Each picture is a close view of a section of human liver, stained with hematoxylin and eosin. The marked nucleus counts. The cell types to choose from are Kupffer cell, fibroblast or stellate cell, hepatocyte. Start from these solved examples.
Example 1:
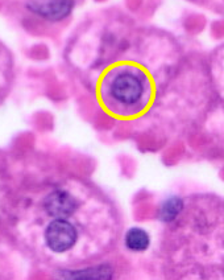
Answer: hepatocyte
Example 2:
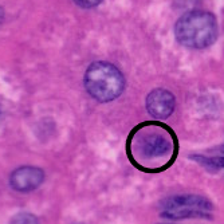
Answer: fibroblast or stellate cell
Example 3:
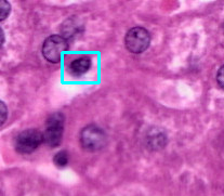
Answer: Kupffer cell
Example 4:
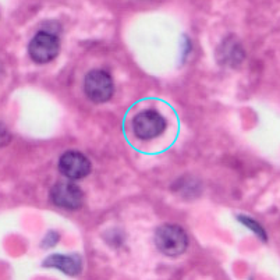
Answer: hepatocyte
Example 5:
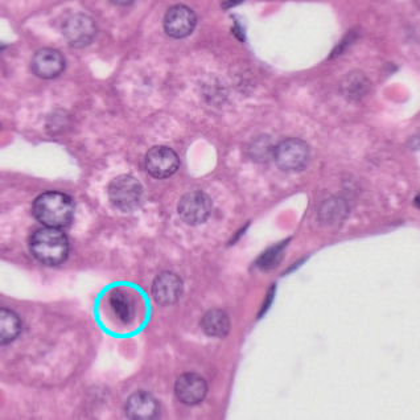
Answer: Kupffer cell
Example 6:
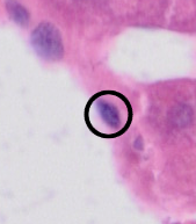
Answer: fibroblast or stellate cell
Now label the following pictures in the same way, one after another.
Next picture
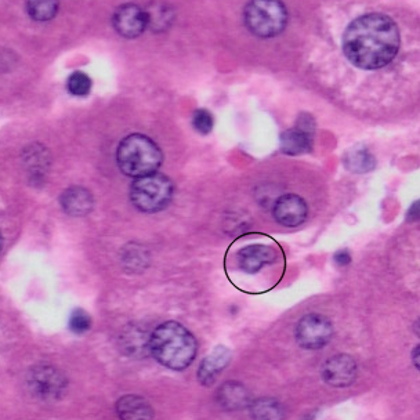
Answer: Kupffer cell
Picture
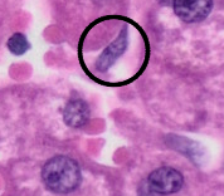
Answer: Kupffer cell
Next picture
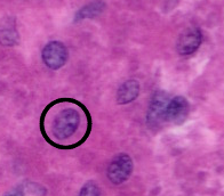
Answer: hepatocyte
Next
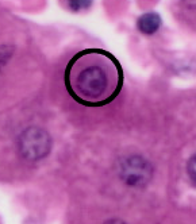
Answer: hepatocyte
